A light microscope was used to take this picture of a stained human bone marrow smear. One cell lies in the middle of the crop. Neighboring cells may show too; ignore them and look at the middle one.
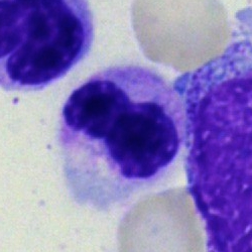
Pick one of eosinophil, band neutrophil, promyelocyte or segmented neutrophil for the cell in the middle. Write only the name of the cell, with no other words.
band neutrophil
